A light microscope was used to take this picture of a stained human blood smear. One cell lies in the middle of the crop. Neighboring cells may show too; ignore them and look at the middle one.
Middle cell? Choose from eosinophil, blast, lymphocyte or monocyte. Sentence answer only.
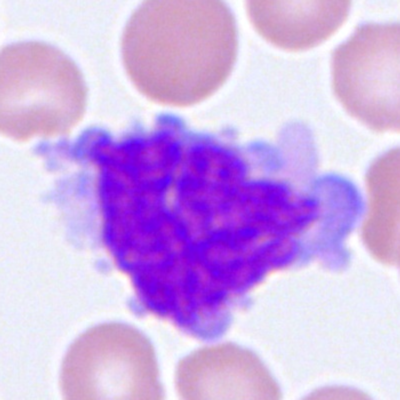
The target cell in the middle of the crop is a monocyte.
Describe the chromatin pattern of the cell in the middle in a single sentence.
Its nuclear chromatin is gathered into coarse clumps.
